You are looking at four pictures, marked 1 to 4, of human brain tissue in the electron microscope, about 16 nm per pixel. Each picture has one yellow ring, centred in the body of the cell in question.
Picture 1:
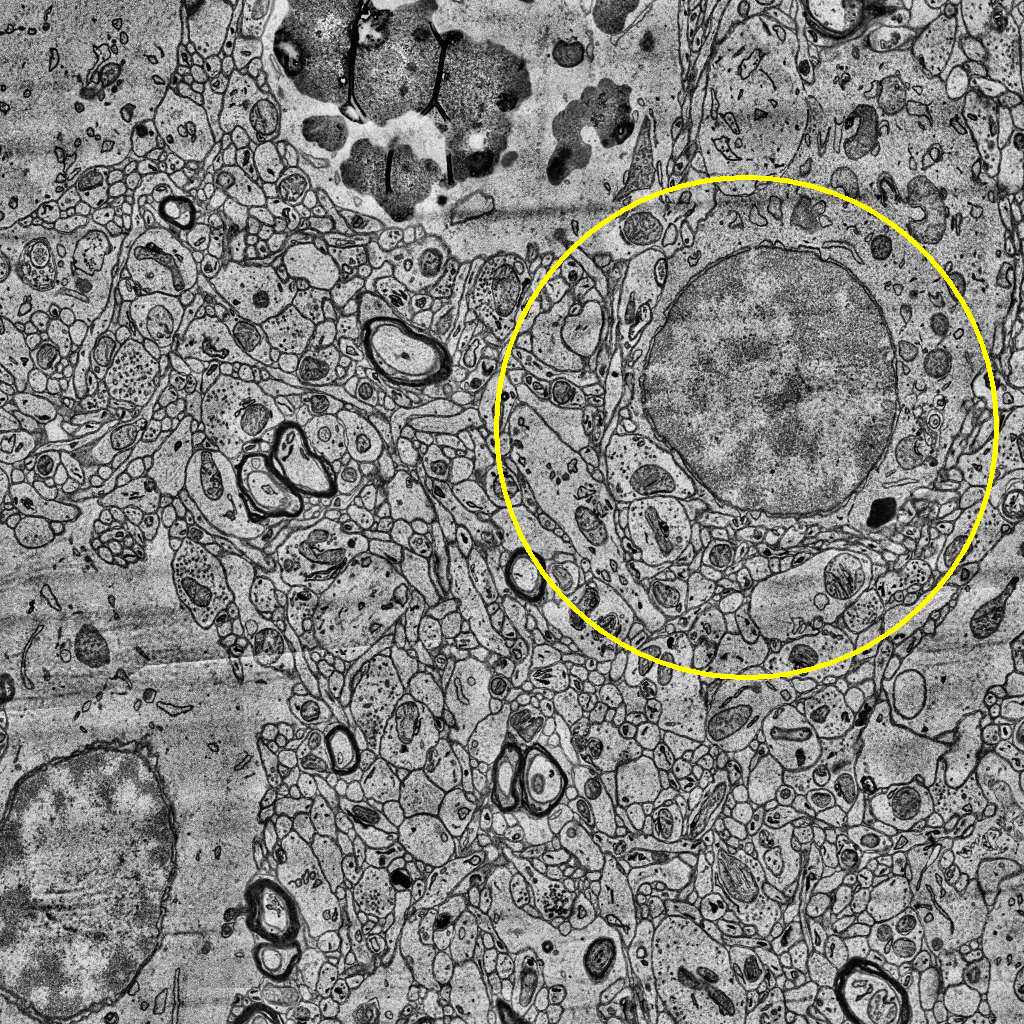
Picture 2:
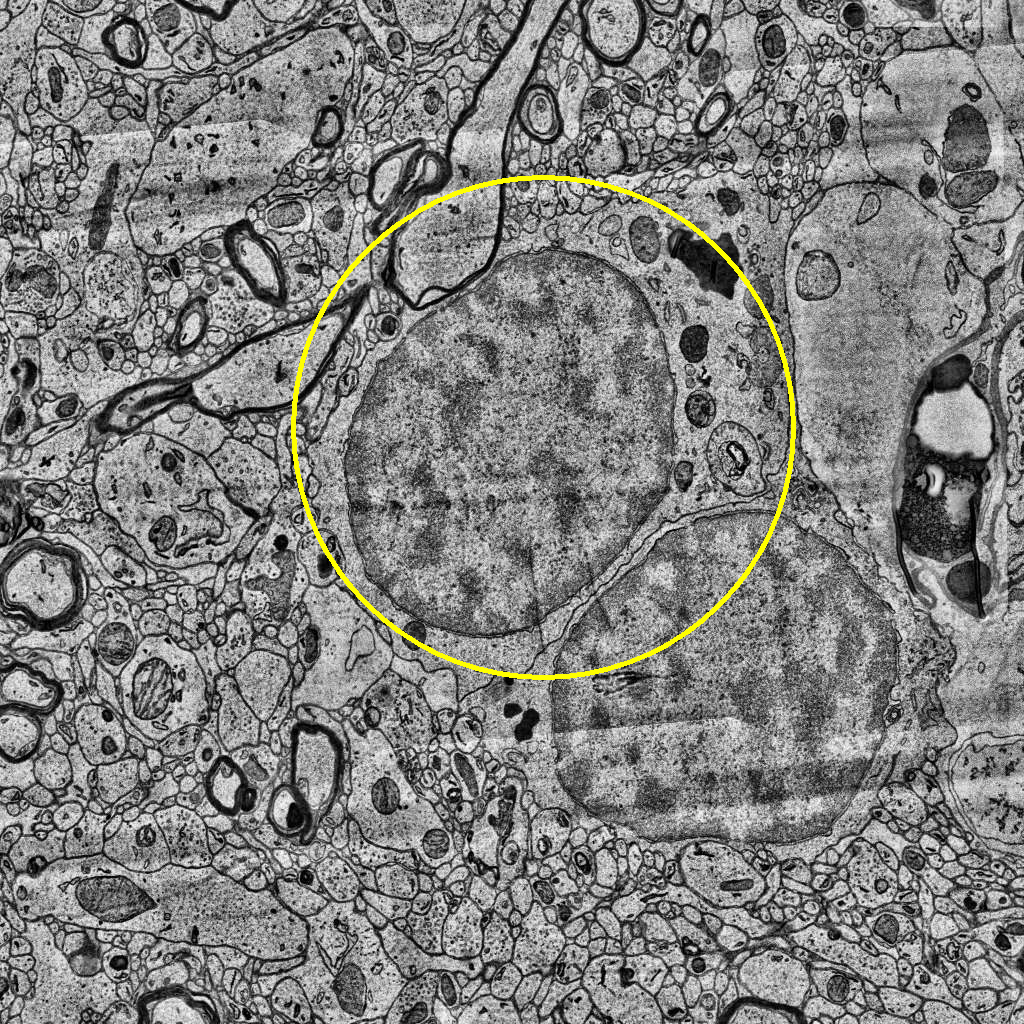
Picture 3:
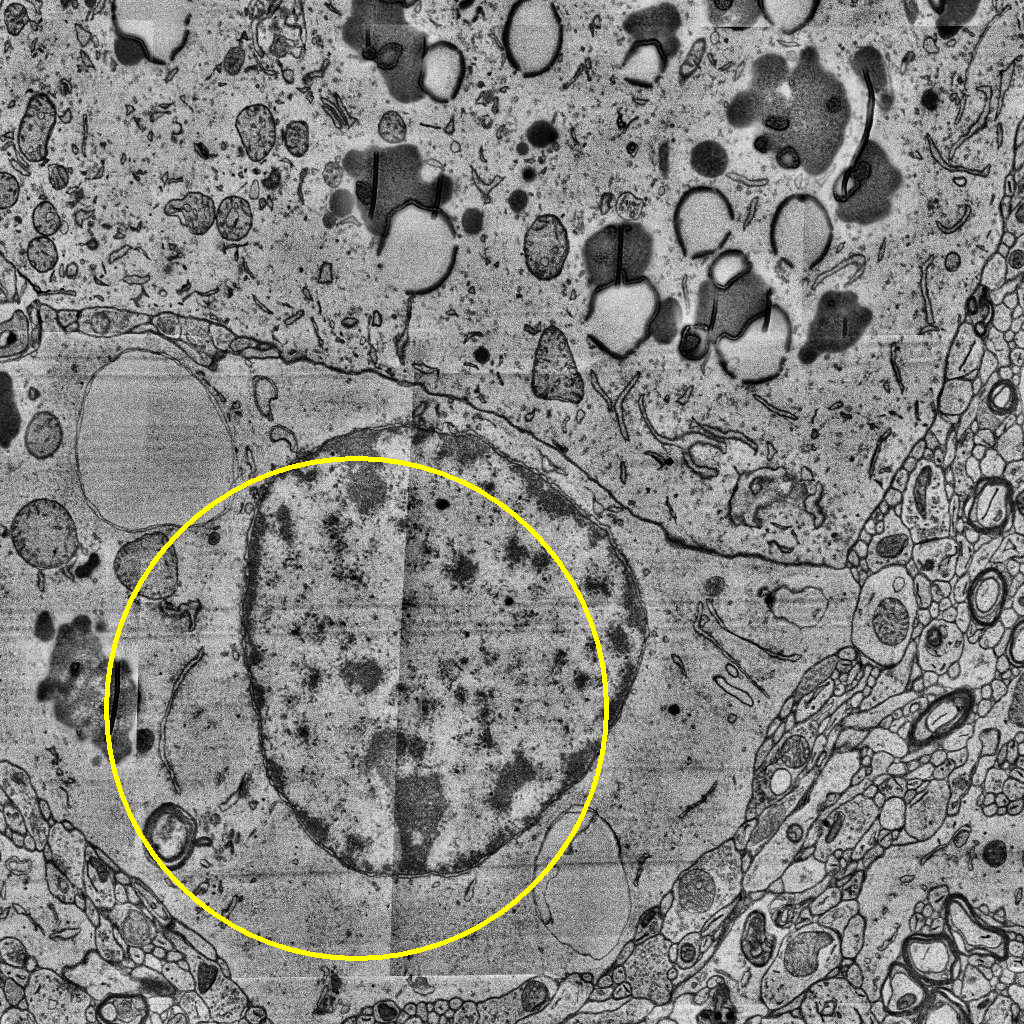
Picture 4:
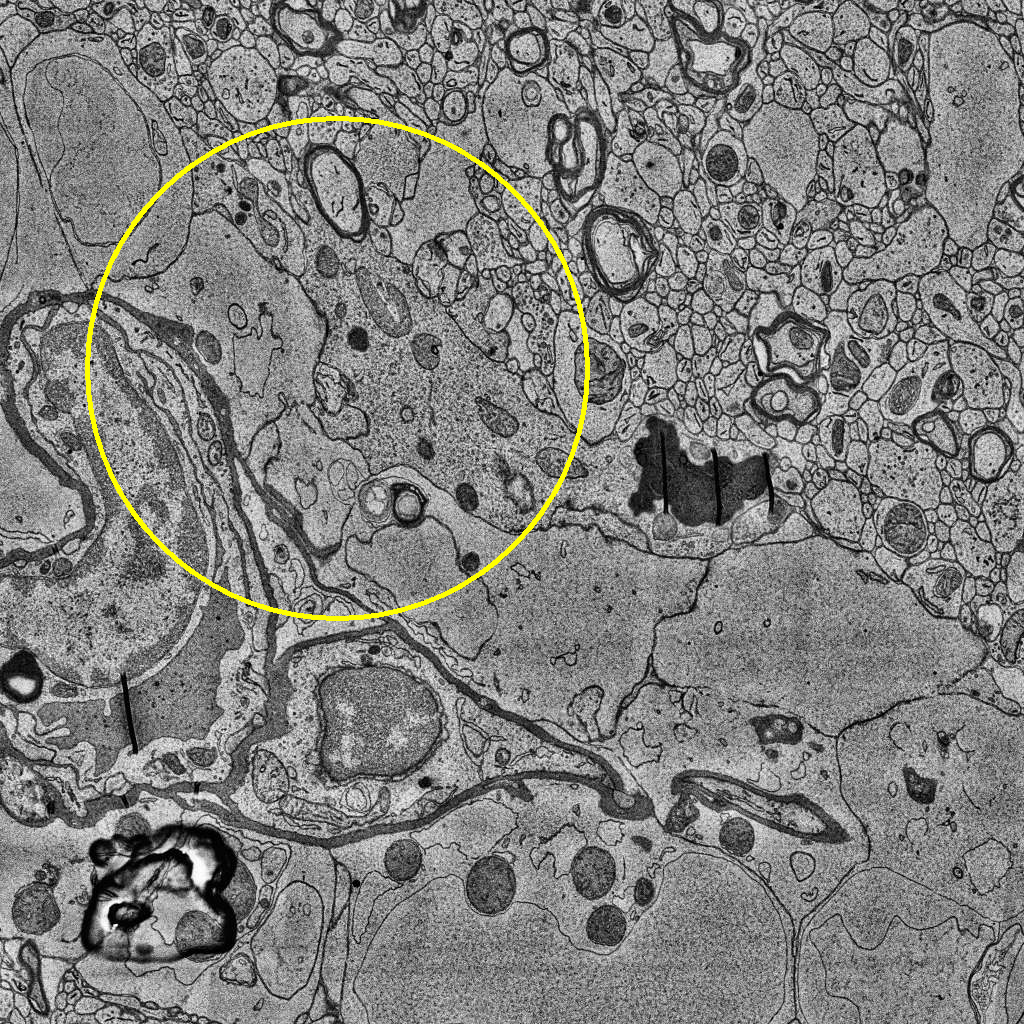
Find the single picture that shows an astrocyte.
The astrocyte is the one in picture 3.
